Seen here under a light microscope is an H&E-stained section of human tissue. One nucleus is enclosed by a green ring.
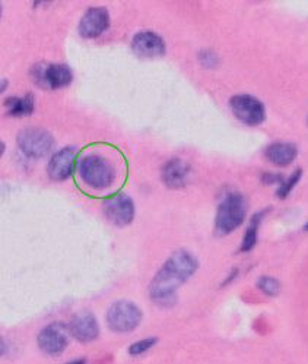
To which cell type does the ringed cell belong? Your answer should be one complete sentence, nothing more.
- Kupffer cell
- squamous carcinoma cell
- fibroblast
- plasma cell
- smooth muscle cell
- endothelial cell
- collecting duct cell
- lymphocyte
Right, so the ringed cell is a collecting duct cell, to answer that.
